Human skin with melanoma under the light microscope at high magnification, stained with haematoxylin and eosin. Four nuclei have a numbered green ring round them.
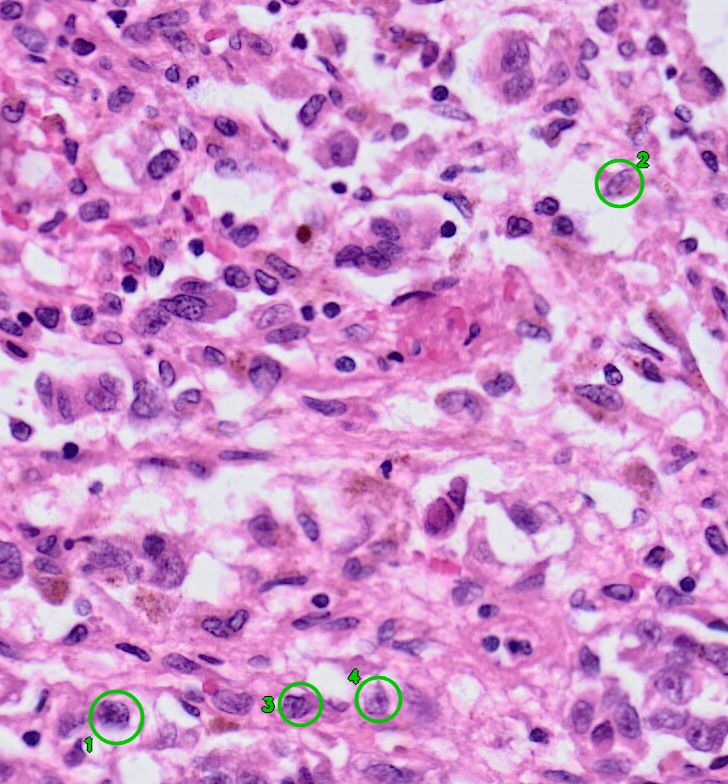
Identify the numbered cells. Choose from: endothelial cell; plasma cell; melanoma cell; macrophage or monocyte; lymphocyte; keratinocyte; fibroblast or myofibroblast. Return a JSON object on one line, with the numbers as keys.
{"1": "melanoma cell", "2": "macrophage or monocyte", "3": "melanoma cell", "4": "melanoma cell"}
